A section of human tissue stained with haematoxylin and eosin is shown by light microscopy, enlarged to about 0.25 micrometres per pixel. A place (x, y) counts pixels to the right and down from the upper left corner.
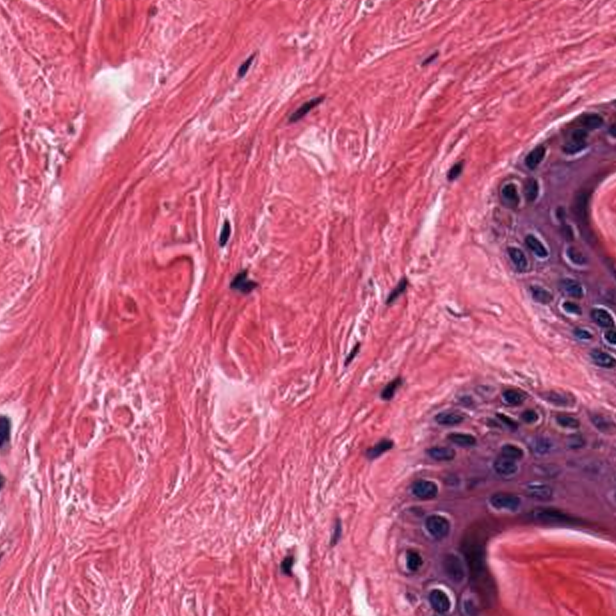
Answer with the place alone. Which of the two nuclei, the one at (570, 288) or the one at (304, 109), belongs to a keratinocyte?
(570, 288)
